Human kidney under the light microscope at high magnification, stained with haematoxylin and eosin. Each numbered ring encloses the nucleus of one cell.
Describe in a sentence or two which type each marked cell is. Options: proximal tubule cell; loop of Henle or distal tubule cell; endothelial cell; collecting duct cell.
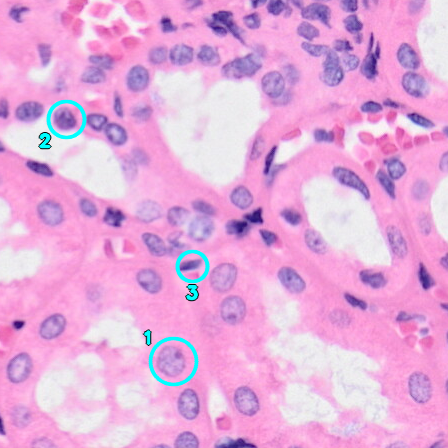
Cell 1 is a proximal tubule cell, cell 2 is a collecting duct cell and cell 3 is an endothelial cell.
